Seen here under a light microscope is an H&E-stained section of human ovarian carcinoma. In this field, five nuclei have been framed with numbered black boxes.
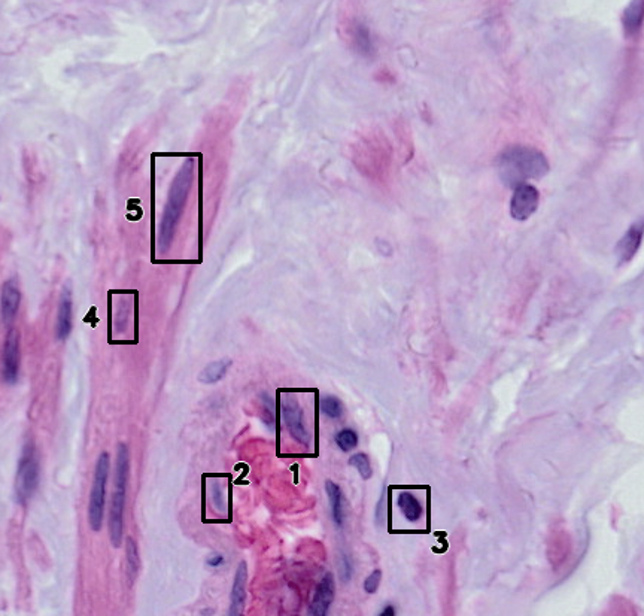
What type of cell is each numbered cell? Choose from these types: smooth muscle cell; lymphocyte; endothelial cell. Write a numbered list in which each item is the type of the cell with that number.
1. endothelial cell
2. endothelial cell
3. lymphocyte
4. smooth muscle cell
5. smooth muscle cell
